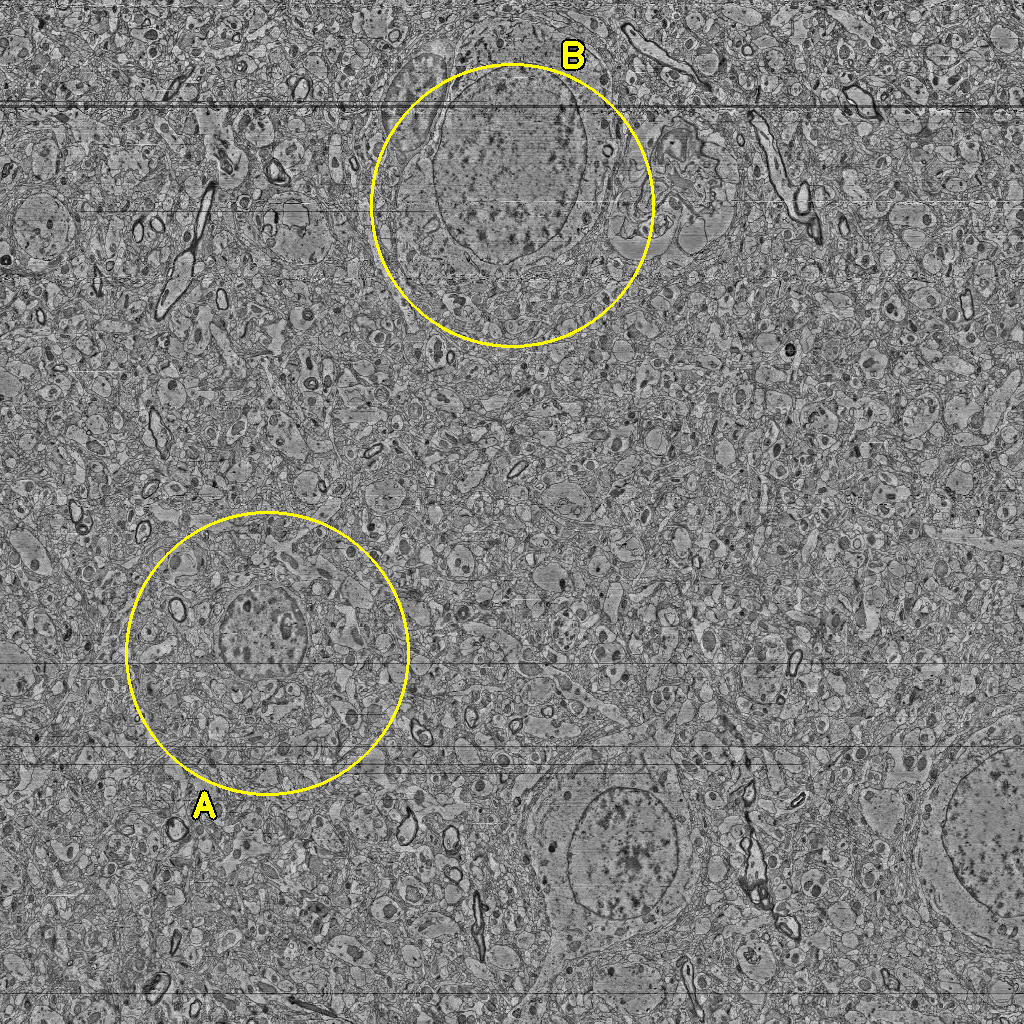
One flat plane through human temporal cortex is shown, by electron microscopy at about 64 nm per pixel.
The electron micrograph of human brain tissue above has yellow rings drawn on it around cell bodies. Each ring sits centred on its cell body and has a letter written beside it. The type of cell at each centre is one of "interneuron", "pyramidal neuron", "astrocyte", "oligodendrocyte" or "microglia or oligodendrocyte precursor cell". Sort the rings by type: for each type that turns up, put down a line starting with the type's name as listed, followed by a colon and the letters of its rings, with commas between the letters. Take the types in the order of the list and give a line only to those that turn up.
pyramidal neuron: B
oligodendrocyte: A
